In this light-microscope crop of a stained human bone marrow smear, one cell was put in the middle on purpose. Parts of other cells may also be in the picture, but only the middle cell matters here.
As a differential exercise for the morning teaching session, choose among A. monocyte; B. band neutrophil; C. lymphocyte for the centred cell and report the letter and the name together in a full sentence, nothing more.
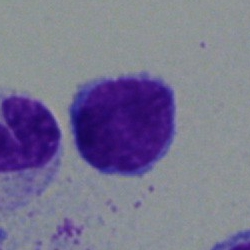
The right choice is option C: the cell in the middle is a lymphocyte.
